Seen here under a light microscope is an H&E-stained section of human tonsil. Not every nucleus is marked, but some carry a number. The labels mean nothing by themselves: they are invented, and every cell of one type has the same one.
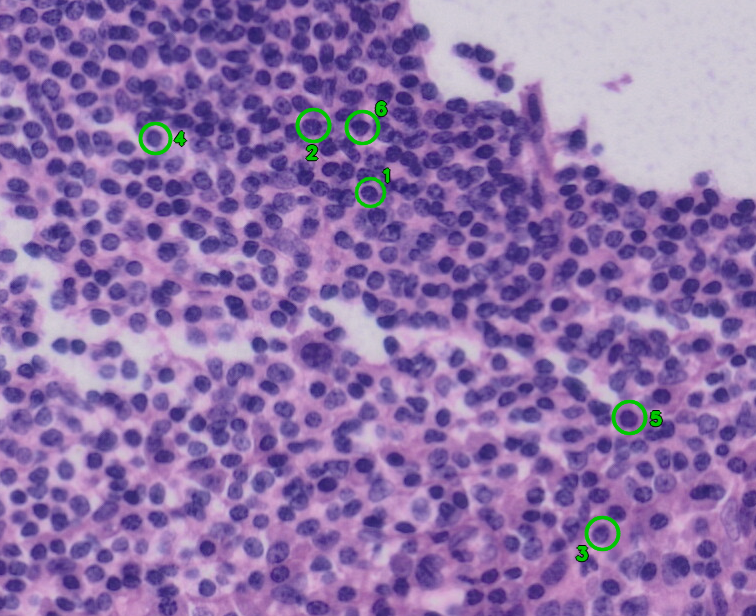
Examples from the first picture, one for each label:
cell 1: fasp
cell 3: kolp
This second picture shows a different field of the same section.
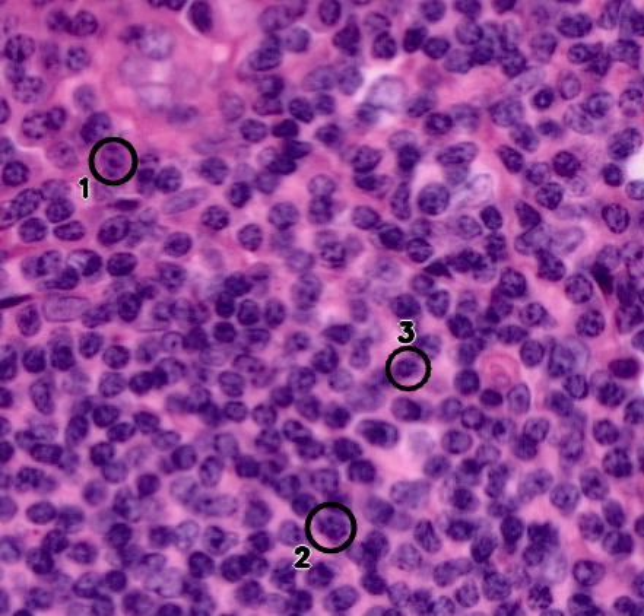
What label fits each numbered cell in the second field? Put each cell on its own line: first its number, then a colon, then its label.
1: kolp
2: fasp
3: fasp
